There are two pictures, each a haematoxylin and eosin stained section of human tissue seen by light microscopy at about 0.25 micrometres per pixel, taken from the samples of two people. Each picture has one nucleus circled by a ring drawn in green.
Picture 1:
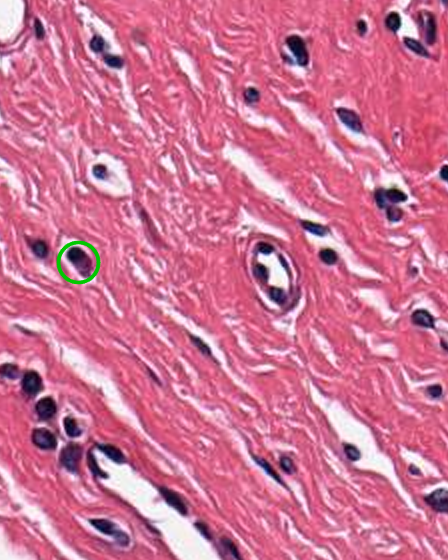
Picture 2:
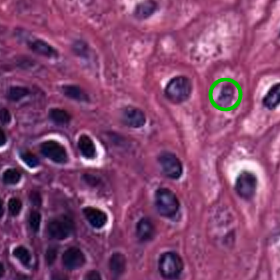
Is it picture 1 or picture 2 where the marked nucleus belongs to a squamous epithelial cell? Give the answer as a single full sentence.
Between the two pictures, it is picture 2 whose marked nucleus belongs to a squamous epithelial cell.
